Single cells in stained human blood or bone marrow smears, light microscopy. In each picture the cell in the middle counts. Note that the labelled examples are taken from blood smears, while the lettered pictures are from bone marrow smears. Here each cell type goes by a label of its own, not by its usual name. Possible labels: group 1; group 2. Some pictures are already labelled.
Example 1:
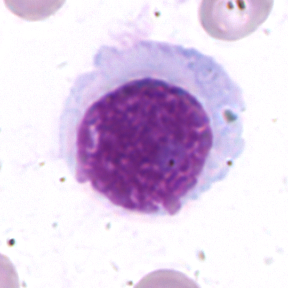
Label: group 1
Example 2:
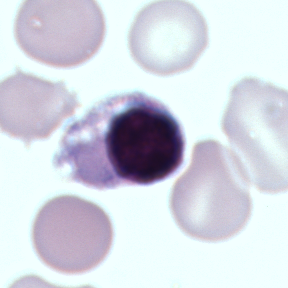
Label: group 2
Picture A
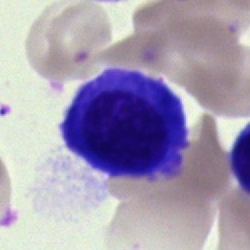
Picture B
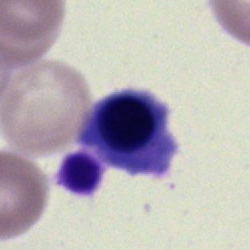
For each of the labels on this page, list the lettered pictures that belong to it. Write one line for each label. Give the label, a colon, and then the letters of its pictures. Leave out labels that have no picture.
group 1: A
group 2: B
